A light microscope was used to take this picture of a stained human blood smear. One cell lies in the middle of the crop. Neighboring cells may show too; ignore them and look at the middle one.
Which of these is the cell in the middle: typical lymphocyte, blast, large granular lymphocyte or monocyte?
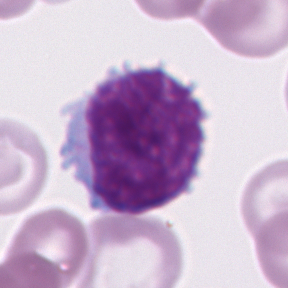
blast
